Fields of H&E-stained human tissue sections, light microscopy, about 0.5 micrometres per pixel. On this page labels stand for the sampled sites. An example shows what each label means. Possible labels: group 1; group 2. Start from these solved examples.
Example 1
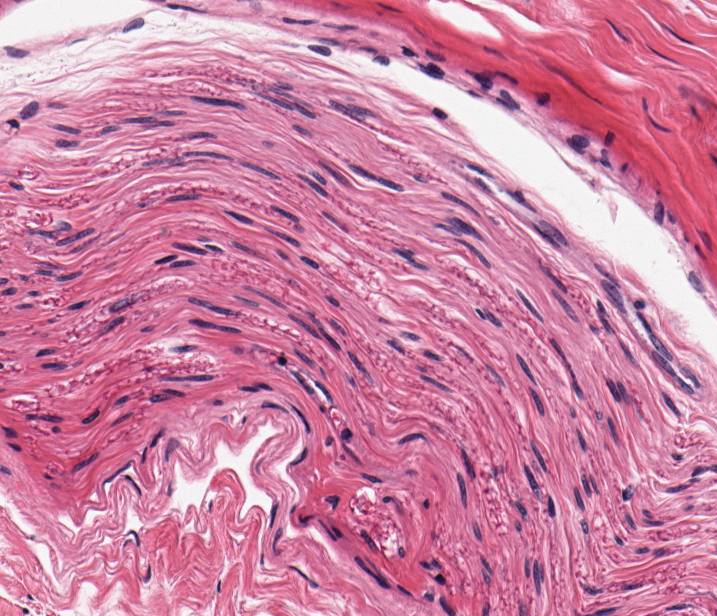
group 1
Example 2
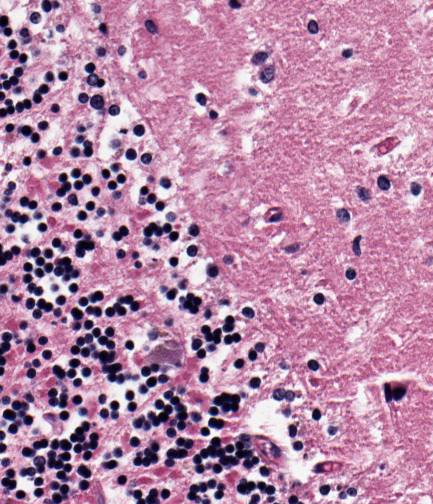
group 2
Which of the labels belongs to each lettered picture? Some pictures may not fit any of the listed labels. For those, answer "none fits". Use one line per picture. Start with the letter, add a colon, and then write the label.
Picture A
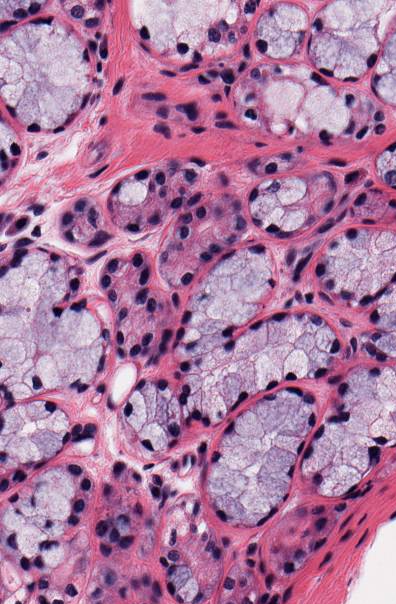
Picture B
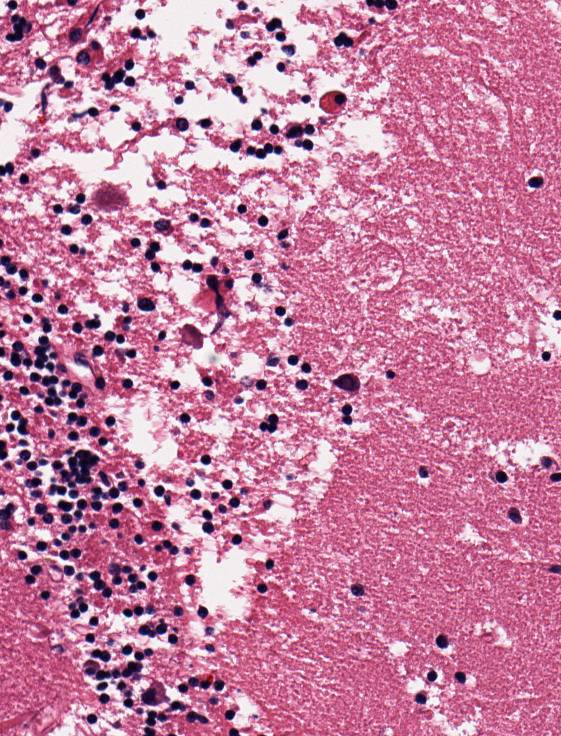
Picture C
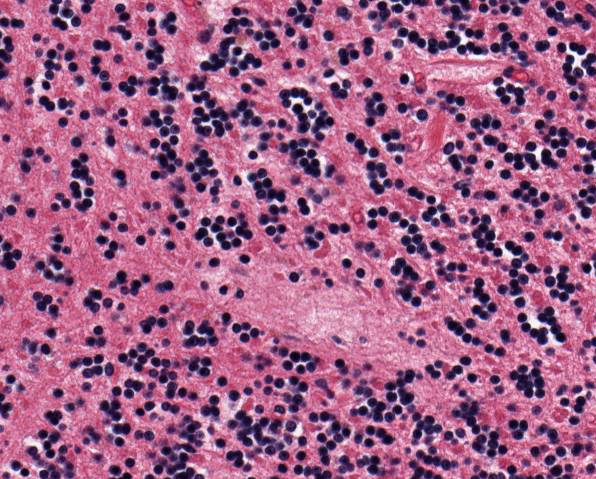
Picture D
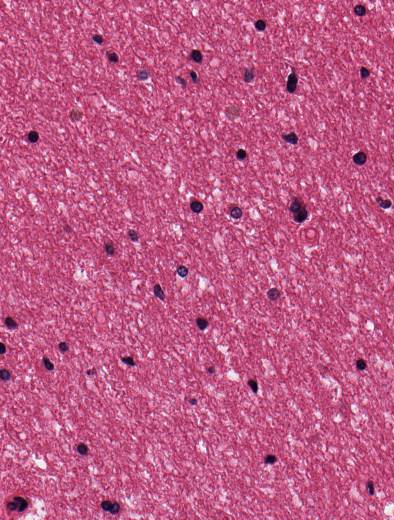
A: none fits
B: group 2
C: group 2
D: group 2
